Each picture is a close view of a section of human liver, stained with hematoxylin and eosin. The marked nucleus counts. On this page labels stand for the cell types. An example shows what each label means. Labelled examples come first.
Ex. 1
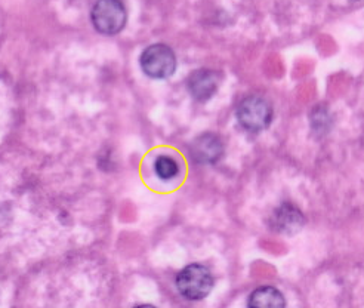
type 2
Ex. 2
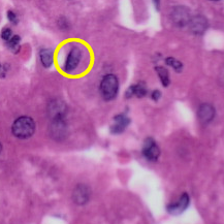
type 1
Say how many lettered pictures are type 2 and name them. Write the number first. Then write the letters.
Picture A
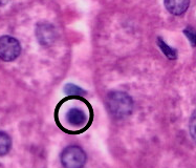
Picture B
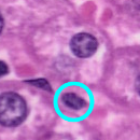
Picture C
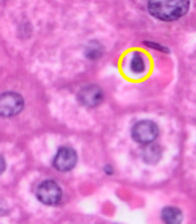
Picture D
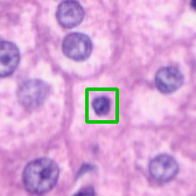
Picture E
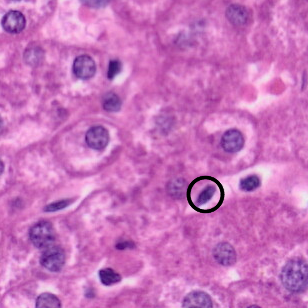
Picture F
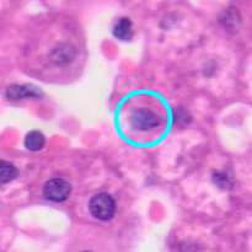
Count: 5 (A, B, C, D, E)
